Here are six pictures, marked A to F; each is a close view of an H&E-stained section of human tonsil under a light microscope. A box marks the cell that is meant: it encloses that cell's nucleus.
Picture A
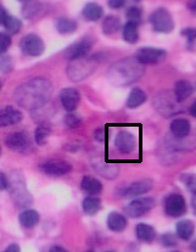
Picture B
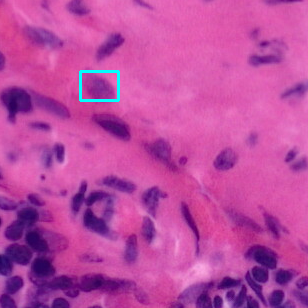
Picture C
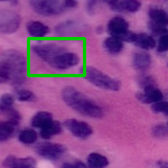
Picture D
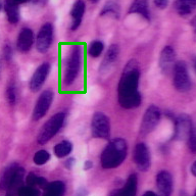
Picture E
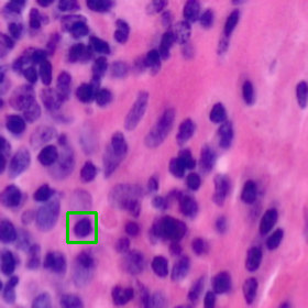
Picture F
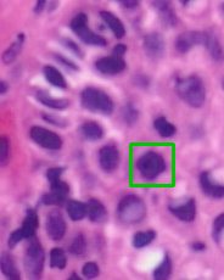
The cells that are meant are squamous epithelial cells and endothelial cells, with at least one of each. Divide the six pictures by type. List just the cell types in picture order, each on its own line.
endothelial cell
endothelial cell
endothelial cell
squamous epithelial cell
endothelial cell
squamous epithelial cell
